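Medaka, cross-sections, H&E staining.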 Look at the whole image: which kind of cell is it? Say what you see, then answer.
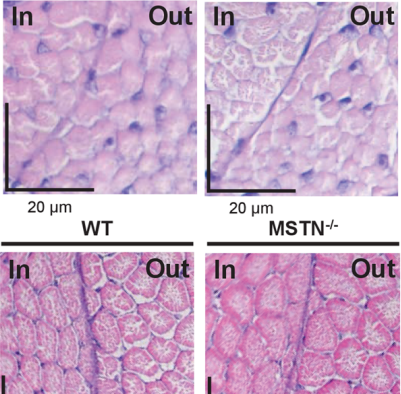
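Pink polygonal profiles packed tightly side by side. Small dark purple nuclei sit at the edges of the pink profiles. A thin septum runs diagonally between packed groups of profiles.
Muscle fibers.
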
